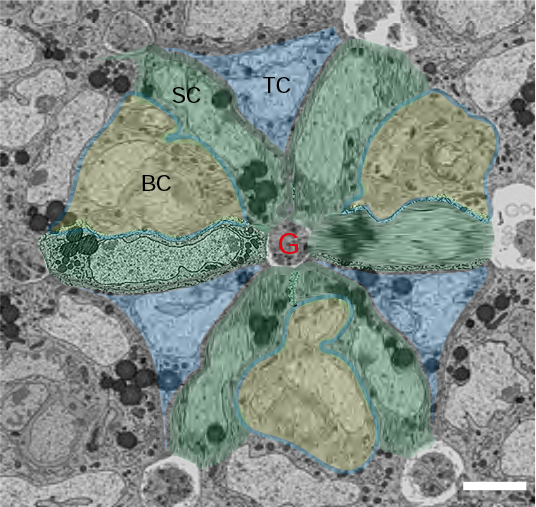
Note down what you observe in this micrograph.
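A basal section of the retina centered on one ommatidium, showing the pigment cells and bristle cell complexes that surround a central grommet. At the middle lies a small round grommet containing axon profiles. Radiating from it are several elongated green-shaded secondary pigment cells, some packed with dark round granules, alternating with triangular blue-shaded tertiary pigment cells at the corners. Yellow-shaded bristle cell complexes sit between them, with paler, finely textured cytoplasm. The cells fit together like a rosette of wedges around the center, and neighbouring ommatidial profiles and grey cytoplasm with vesicles surround the arrangement.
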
